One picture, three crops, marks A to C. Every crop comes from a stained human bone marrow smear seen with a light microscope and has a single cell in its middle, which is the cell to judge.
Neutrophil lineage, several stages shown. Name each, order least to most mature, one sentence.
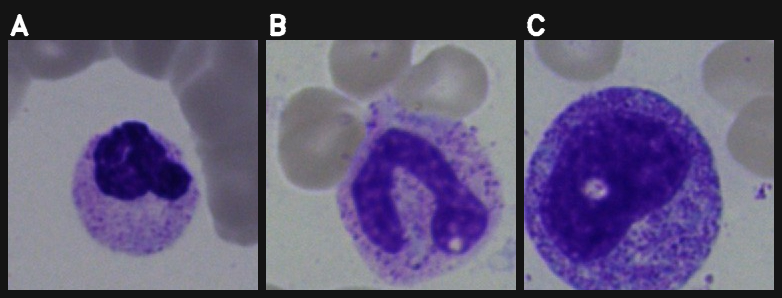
Arranging the cells from least to most mature gives crop C (a myelocyte), crop B (a band neutrophil) and crop A (a segmented neutrophil).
